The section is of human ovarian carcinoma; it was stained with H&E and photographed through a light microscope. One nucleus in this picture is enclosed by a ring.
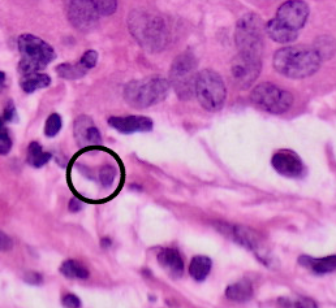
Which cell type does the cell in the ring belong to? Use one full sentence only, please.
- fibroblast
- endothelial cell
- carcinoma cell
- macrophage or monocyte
In cellular terms, the cell in the ring is a macrophage or monocyte.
